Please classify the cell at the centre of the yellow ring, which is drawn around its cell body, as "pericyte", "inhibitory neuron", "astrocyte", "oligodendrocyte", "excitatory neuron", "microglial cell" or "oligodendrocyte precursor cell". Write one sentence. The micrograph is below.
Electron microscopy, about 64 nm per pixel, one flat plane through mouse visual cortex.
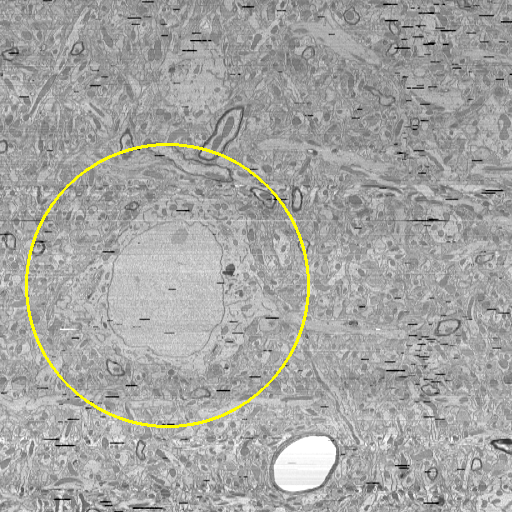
The cell at the ring's centre is classified as an excitatory neuron.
